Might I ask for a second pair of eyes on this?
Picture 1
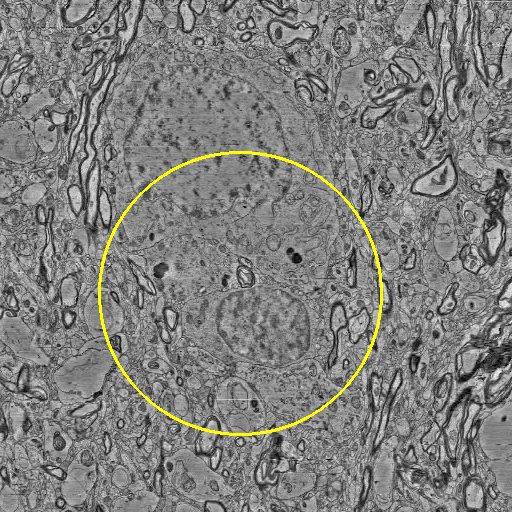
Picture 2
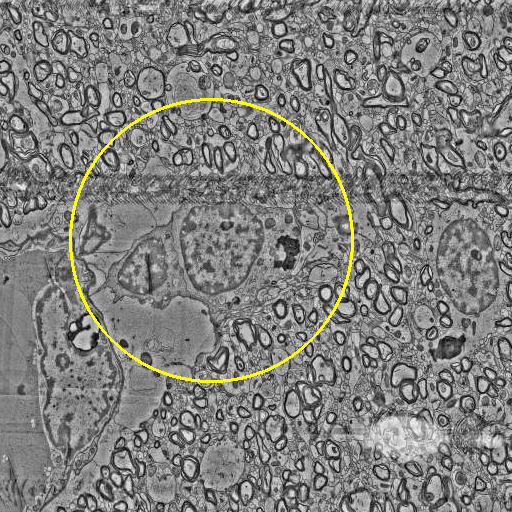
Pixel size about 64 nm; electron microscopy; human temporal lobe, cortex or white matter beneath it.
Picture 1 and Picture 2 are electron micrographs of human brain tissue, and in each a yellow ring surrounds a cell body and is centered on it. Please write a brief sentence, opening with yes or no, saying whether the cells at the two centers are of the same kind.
Yes, the cells are of the same kind.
